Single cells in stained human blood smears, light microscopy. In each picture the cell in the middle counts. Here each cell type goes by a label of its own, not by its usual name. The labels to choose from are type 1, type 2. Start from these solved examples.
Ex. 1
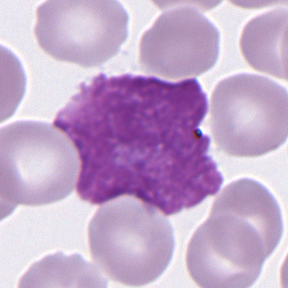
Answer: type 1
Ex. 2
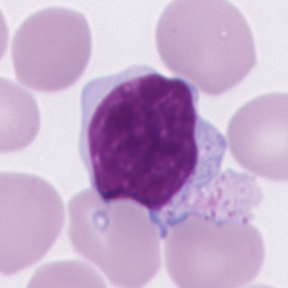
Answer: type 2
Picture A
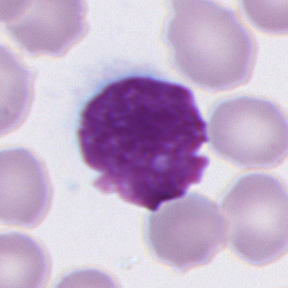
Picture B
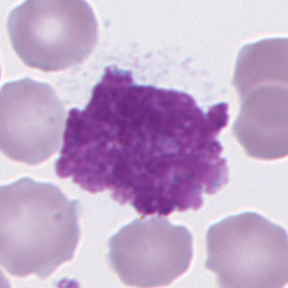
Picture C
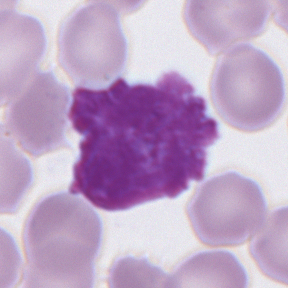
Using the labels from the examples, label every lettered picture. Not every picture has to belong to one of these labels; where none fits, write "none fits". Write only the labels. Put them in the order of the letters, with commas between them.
type 1, type 1, type 1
